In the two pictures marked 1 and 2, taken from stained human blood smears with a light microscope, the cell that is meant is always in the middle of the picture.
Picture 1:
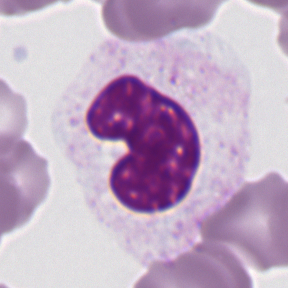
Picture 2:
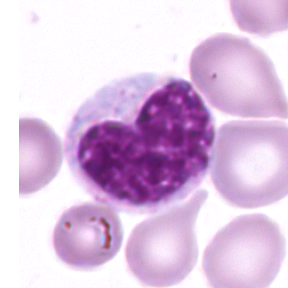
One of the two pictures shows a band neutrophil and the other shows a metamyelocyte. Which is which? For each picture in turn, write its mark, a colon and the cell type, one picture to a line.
1: band neutrophil
2: metamyelocyte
